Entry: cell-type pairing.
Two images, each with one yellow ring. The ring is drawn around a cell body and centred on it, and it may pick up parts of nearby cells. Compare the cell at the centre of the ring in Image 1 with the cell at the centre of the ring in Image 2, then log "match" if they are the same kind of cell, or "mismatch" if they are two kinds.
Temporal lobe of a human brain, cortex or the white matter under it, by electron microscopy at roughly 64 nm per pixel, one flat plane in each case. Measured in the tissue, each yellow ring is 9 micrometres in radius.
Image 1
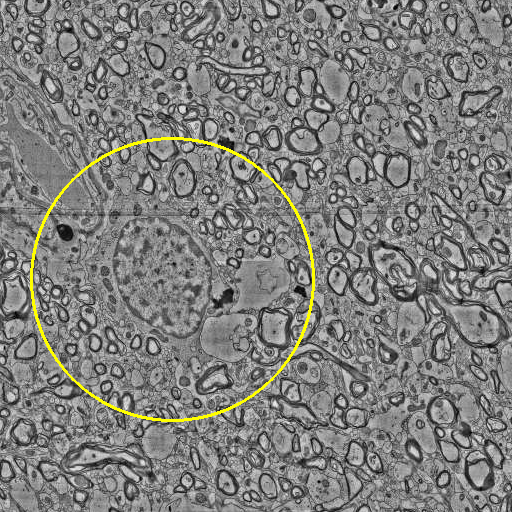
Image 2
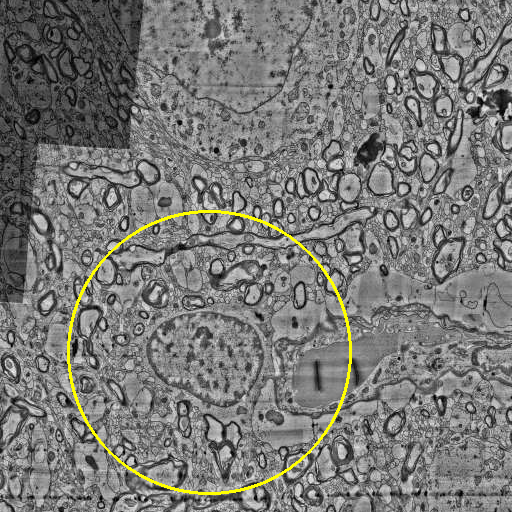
match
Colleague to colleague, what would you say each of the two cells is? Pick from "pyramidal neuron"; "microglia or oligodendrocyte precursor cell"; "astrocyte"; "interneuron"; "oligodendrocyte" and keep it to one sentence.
Both pictures show an oligodendrocyte at the centre of the ring.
